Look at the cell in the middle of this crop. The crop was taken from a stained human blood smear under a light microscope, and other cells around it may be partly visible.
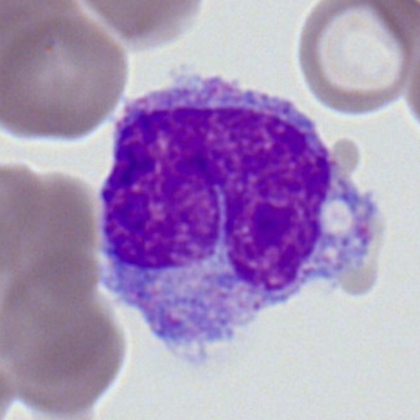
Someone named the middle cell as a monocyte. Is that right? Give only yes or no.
yes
